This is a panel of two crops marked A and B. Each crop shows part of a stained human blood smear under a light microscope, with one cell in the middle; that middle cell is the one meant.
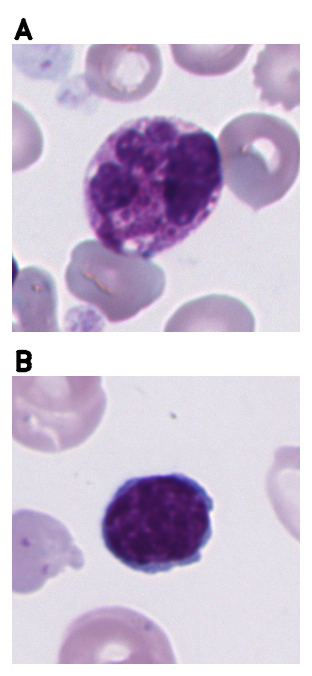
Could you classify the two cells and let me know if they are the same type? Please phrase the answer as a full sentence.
No, a basophil is the cell in crop A; a typical lymphocyte is the cell in crop B.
